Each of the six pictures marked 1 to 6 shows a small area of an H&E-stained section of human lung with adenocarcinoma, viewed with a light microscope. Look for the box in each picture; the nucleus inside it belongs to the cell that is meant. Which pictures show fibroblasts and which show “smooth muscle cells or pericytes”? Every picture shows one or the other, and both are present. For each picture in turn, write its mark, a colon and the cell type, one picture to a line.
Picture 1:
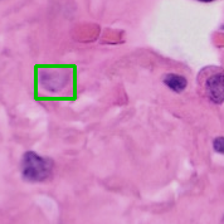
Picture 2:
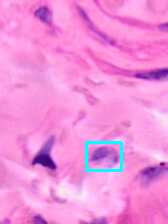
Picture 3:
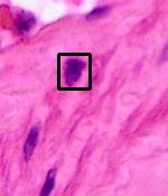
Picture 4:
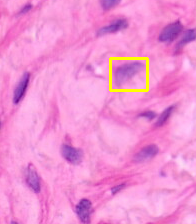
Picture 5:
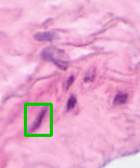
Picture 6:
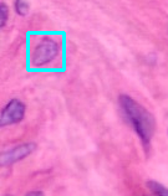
1: fibroblast
2: fibroblast
3: smooth muscle cell or pericyte
4: smooth muscle cell or pericyte
5: smooth muscle cell or pericyte
6: smooth muscle cell or pericyte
